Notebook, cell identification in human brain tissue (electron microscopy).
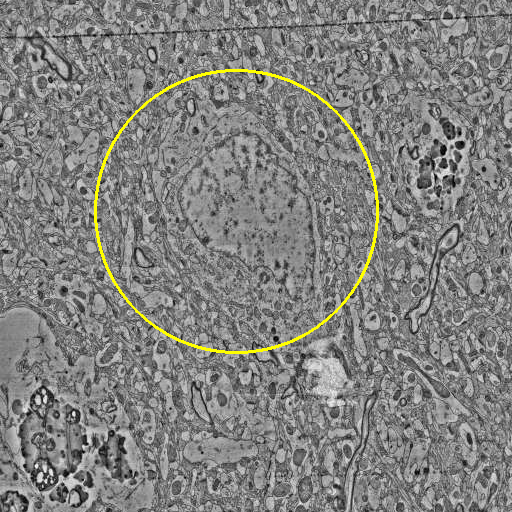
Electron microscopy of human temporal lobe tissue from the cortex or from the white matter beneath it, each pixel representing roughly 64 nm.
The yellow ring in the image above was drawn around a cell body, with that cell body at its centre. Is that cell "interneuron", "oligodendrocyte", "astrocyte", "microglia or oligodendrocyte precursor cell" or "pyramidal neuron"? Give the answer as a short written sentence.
The cell in the ring is an interneuron.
